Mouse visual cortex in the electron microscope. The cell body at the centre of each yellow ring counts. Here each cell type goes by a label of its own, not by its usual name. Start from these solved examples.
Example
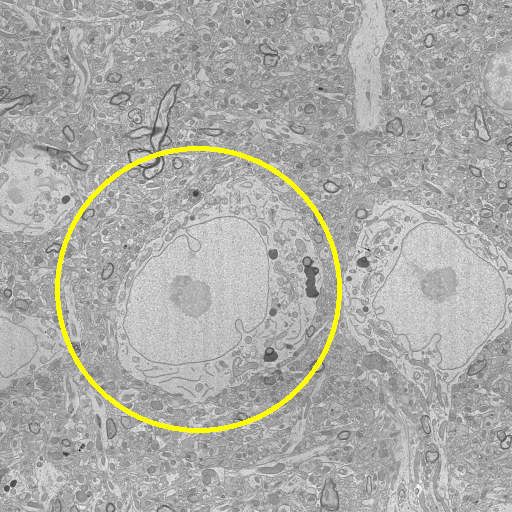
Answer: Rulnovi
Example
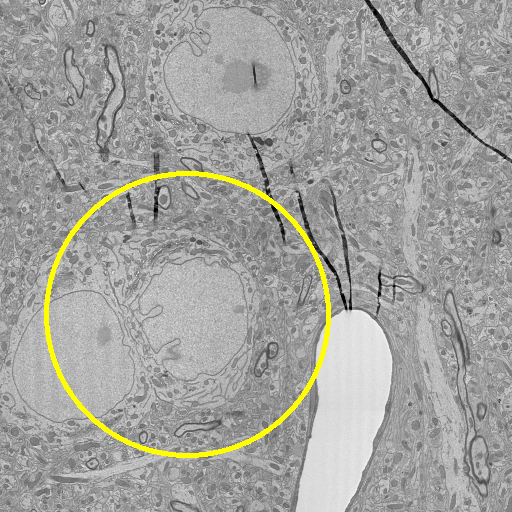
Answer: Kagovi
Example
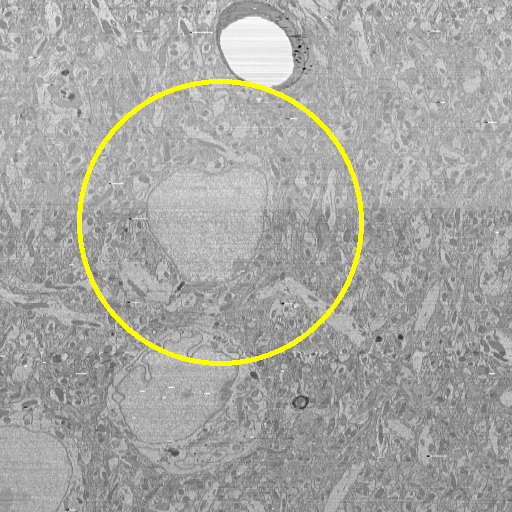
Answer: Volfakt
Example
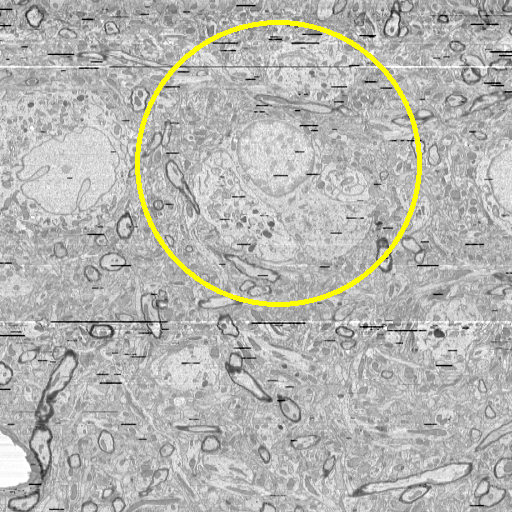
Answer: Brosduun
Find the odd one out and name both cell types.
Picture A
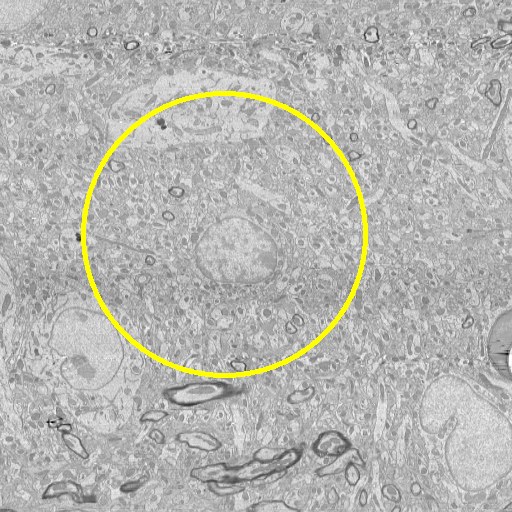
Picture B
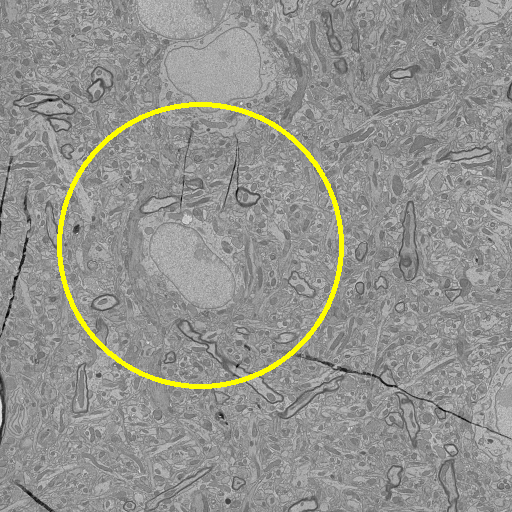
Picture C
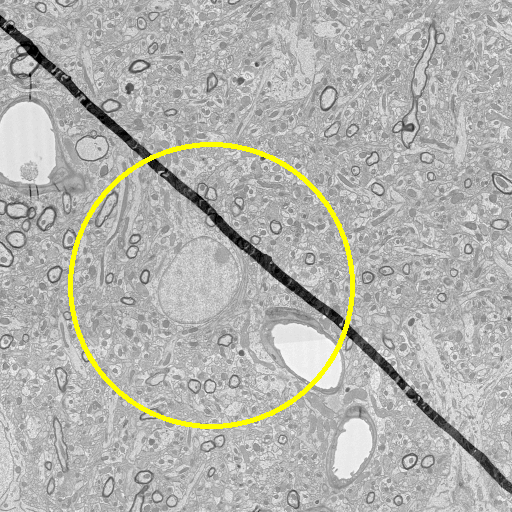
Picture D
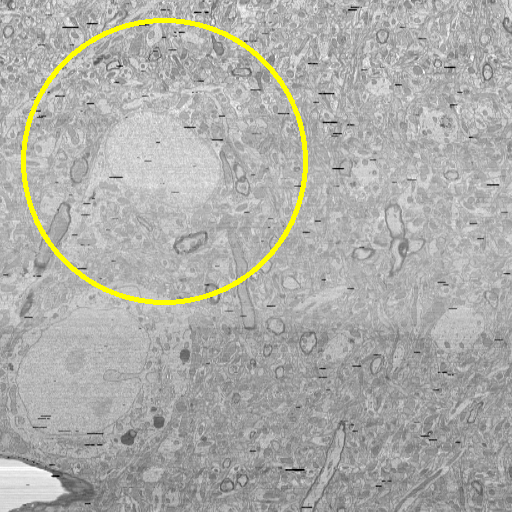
A: Brosduun; all the others: Volfakt.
